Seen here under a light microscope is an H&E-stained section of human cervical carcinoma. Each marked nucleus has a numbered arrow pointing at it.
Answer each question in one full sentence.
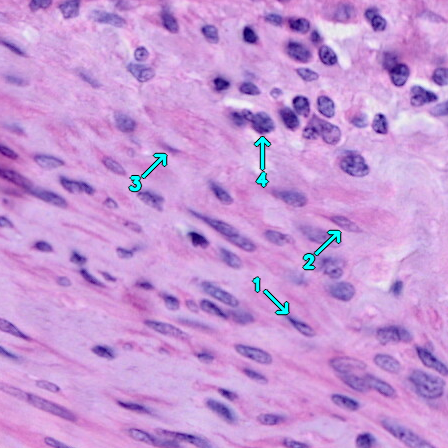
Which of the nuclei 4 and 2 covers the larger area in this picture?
It is nucleus 4, which covers about 2 times the area of nucleus 2.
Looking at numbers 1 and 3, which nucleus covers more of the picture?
Nucleus 1 covers more area, about 2.5 times as much as nucleus 3.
